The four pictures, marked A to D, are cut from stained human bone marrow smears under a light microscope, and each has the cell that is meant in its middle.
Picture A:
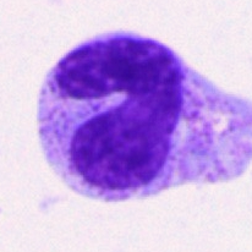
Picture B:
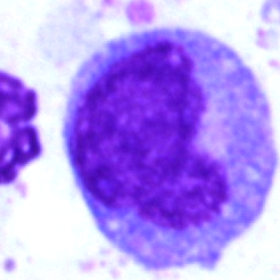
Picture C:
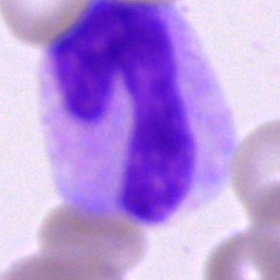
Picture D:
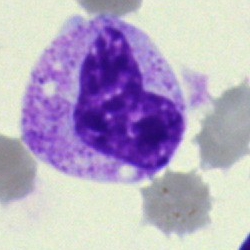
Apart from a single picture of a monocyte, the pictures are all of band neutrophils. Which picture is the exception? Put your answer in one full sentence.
The cell in picture B is the monocyte.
